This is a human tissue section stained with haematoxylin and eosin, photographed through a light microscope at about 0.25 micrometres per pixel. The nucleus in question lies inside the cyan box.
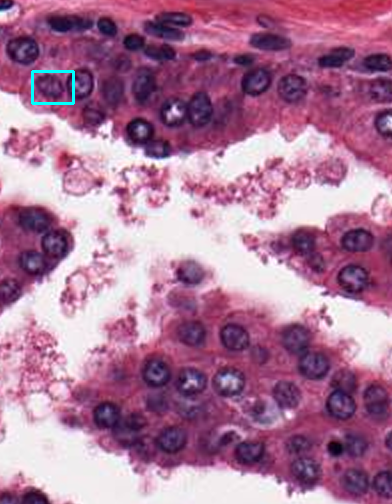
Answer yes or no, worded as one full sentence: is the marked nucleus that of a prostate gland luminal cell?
Yes, what is marked here is the nucleus of a prostate gland luminal cell.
